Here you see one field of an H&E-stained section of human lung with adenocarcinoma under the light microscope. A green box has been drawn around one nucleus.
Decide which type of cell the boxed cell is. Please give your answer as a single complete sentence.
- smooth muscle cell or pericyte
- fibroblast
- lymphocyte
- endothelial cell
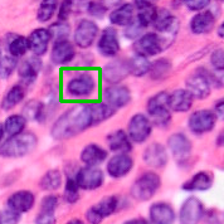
Just put down that the boxed cell is a lymphocyte.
